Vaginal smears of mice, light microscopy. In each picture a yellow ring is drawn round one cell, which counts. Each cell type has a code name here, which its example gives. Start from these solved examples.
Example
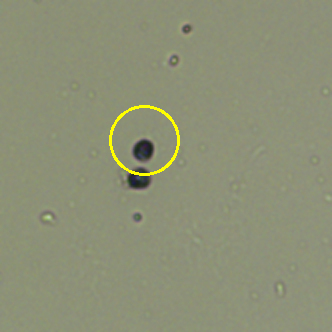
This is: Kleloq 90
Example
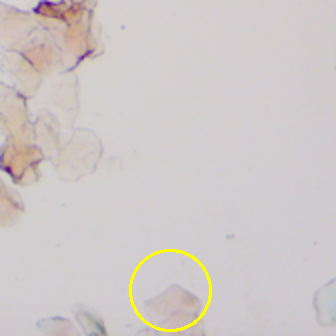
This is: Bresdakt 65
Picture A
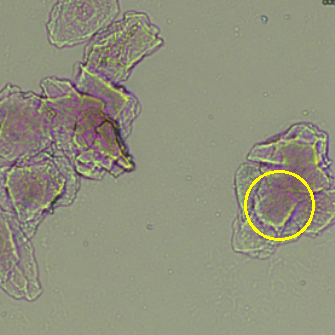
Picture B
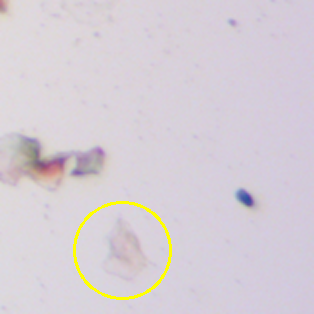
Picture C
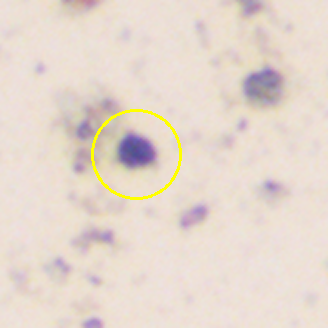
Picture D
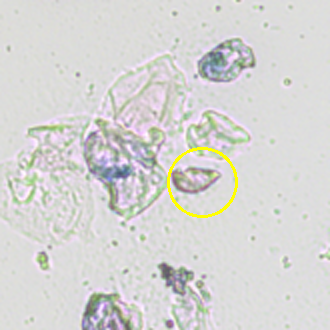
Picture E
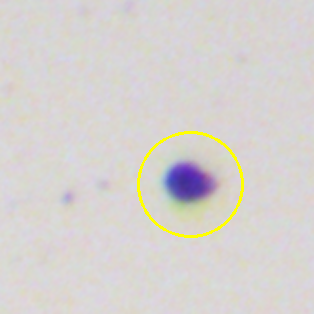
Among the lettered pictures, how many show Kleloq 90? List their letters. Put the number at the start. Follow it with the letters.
Count: 2 (C, E)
